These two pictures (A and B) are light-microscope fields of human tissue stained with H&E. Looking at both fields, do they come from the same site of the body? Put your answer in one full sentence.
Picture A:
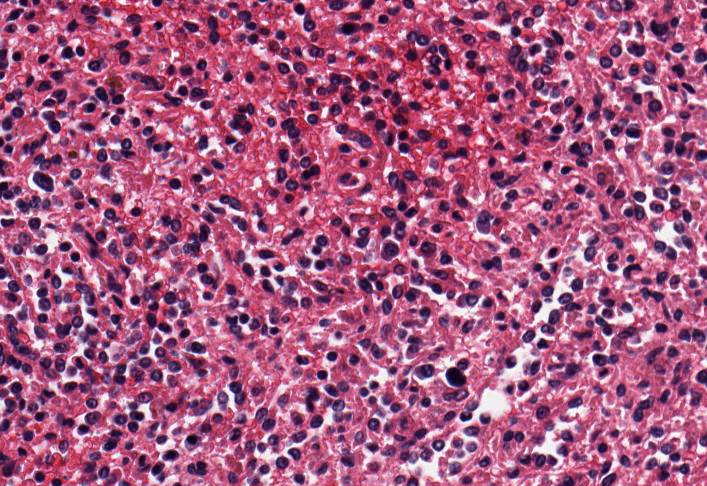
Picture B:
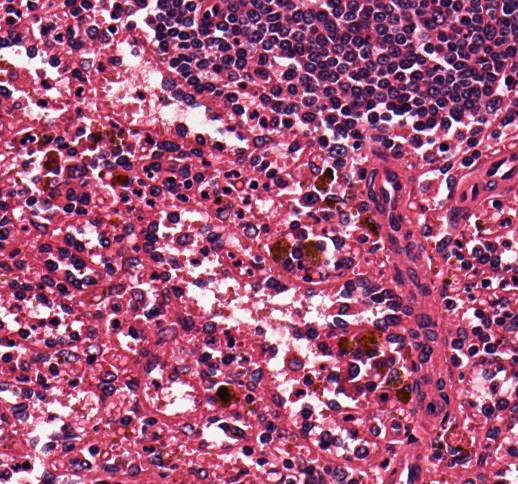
Yes, both come from the spleen.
